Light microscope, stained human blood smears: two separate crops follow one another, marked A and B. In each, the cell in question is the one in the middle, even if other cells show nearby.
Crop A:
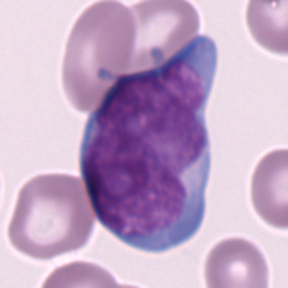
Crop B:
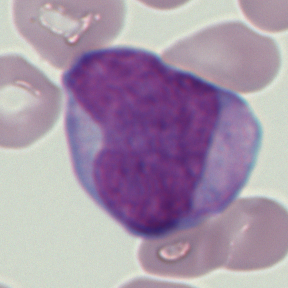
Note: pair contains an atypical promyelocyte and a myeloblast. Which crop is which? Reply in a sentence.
Crop A shows a myeloblast, whereas crop B shows an atypical promyelocyte.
